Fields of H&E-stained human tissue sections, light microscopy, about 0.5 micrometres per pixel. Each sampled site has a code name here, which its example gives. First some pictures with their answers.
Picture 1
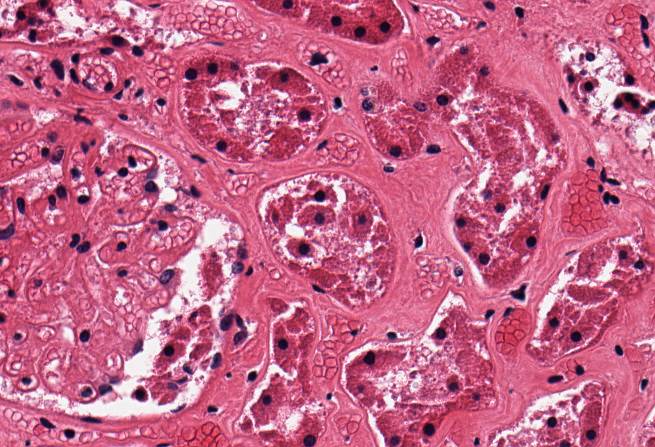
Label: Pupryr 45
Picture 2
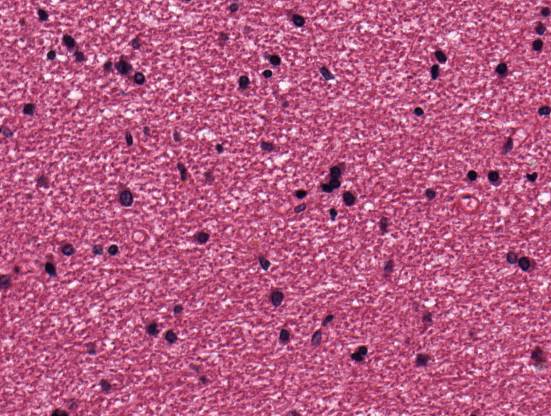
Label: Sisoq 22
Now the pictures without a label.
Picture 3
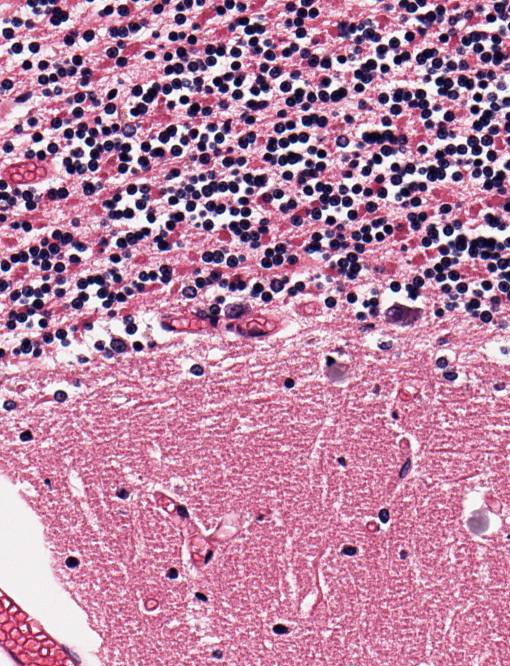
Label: Sisoq 22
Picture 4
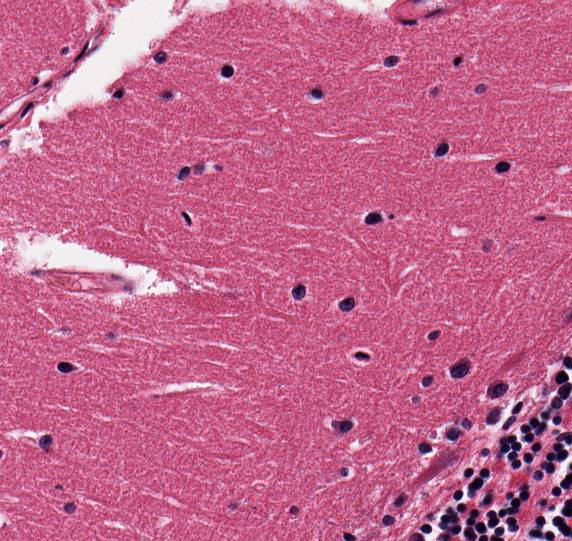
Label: Sisoq 22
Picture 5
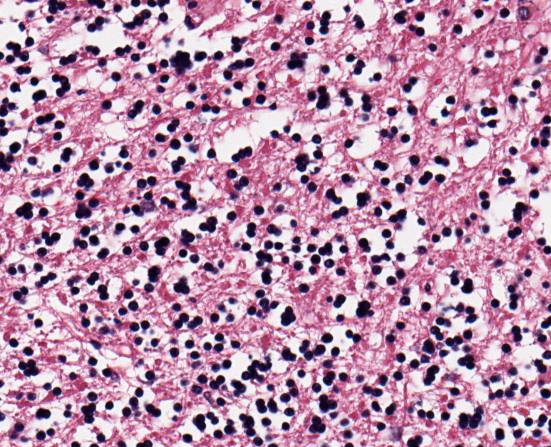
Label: Sisoq 22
